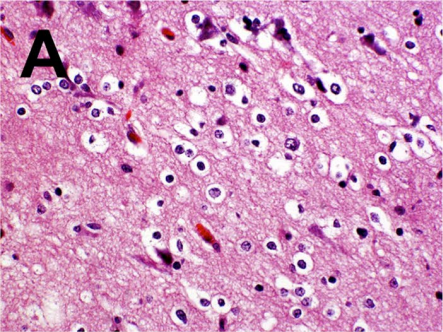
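Tumour tissue with oligodendroglial features: fairly uniform cells with round, dark, evenly stained nuclei, many surrounded by clear perinuclear halos that give a fried-egg appearance. The cells are scattered in a pink, finely fibrillary background rather than packed in dense sheets. A few nuclei are more irregular and hyperchromatic, and several small red blood cell-filled capillaries are visible between the cells. No mitotic figures or necrosis are evident in the field.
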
